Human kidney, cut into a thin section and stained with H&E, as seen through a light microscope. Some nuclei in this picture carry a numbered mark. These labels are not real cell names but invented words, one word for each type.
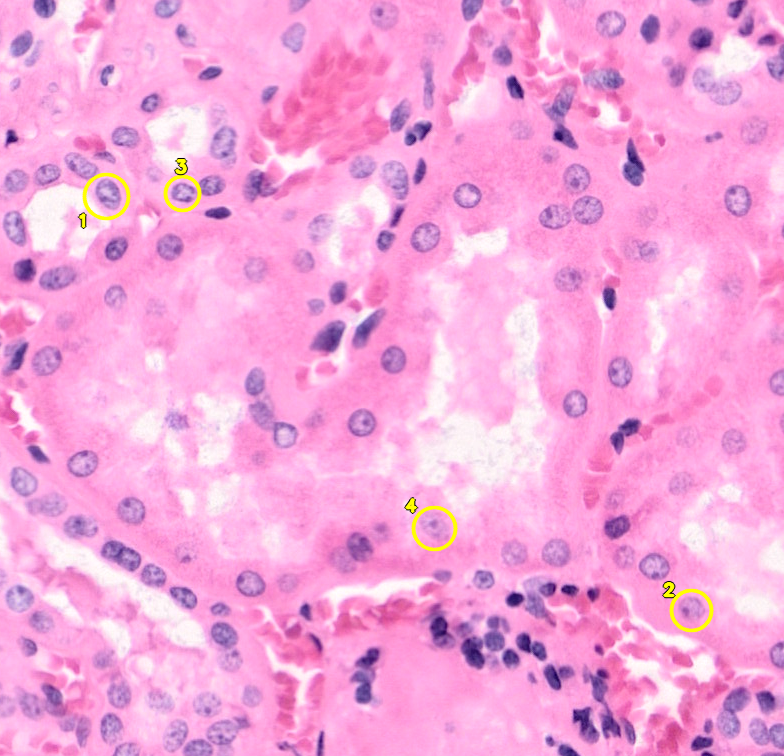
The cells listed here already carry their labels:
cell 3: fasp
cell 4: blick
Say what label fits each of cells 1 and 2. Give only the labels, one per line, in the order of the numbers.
fasp
blick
